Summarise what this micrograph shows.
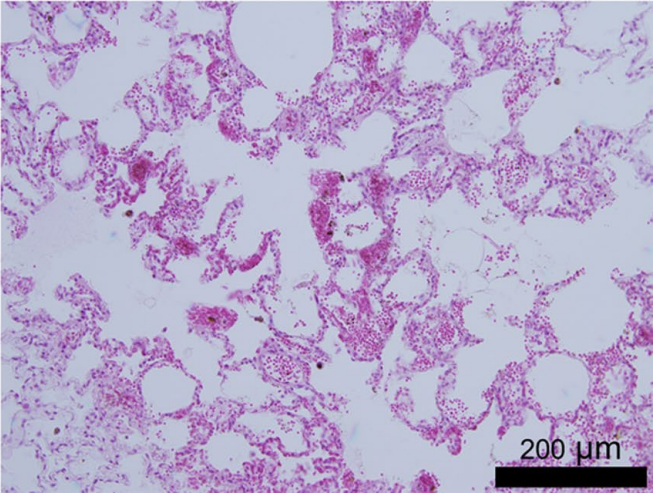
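This is lung parenchyma made up of open, rounded alveolar air spaces separated by thin pink septa. Patchy clusters of small red-staining cells crowd into some septa and alveoli, most densely in the centre of the field. The air spaces elsewhere are largely clear. A few small brown granules are scattered among the septa.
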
